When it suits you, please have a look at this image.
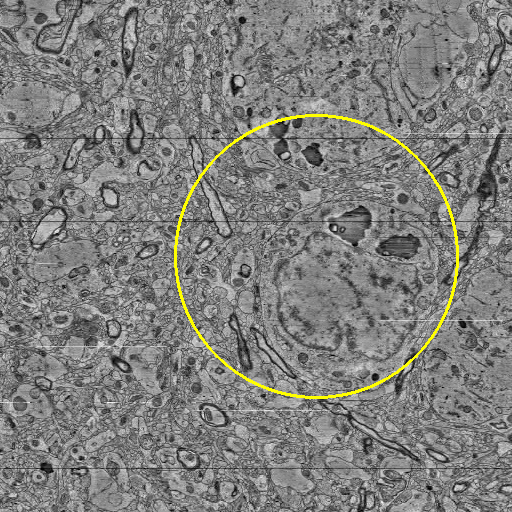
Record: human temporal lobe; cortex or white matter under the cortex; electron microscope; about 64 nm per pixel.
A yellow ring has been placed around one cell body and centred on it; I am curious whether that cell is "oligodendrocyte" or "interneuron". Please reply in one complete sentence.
The ringed cell, an interneuron, has its body at the centre of the yellow ring.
